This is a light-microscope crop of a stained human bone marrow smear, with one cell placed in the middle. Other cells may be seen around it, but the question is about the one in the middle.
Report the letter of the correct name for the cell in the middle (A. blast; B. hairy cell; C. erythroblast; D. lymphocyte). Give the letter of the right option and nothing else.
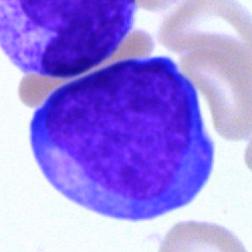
A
